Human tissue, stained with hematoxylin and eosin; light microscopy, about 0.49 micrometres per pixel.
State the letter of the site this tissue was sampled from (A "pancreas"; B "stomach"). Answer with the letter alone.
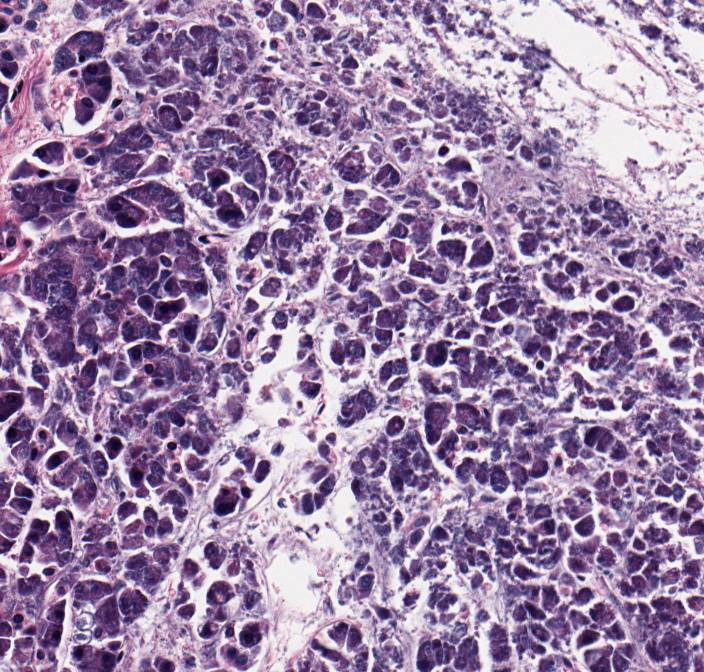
A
